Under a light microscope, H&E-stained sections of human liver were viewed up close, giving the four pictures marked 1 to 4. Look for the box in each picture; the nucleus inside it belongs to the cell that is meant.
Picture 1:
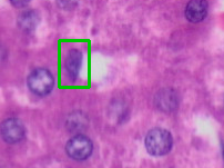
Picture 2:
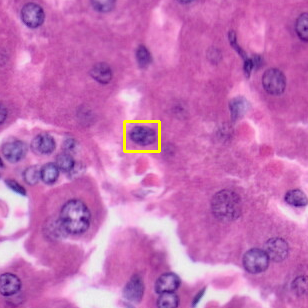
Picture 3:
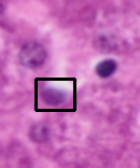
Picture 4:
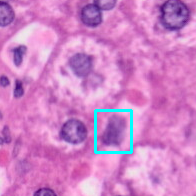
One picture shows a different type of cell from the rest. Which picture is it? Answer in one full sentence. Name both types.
Unlike the rest, which show endothelial cells, picture 2 shows a “fibroblast or stellate cell”.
